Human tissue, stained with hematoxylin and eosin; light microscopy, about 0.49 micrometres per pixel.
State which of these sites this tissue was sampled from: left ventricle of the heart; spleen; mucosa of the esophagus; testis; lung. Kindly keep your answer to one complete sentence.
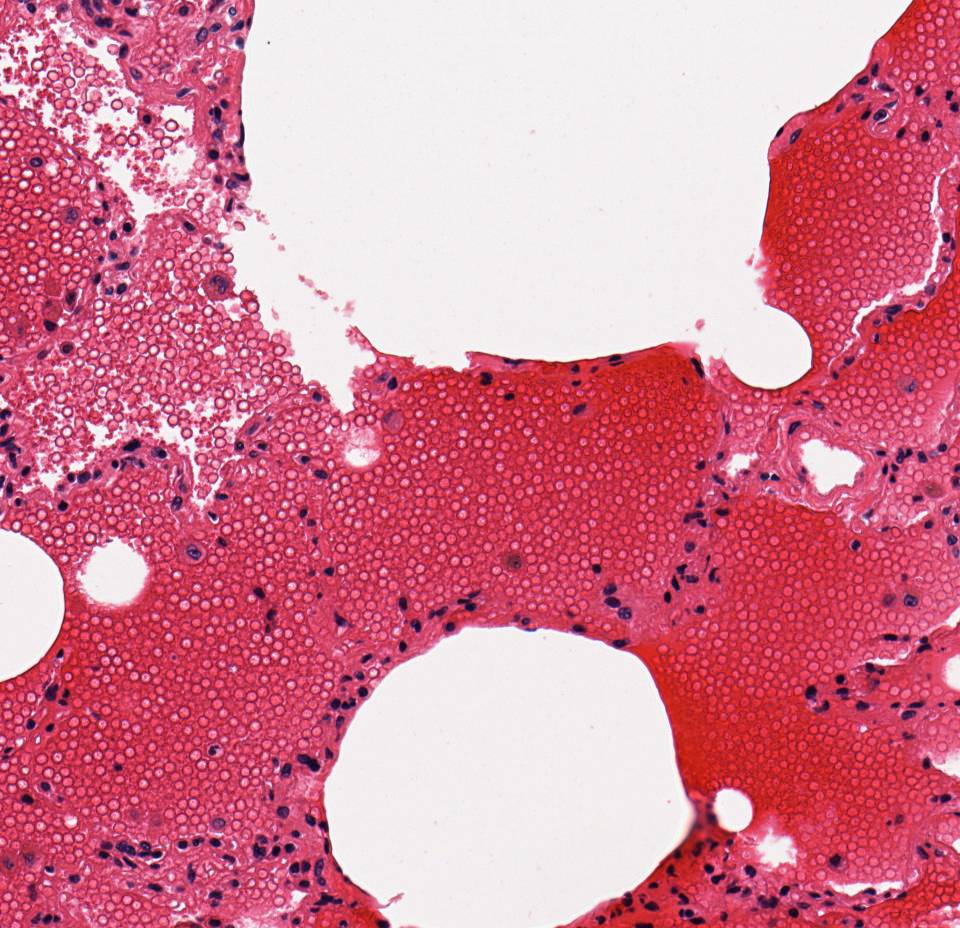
In this section is tissue sampled from the lung.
